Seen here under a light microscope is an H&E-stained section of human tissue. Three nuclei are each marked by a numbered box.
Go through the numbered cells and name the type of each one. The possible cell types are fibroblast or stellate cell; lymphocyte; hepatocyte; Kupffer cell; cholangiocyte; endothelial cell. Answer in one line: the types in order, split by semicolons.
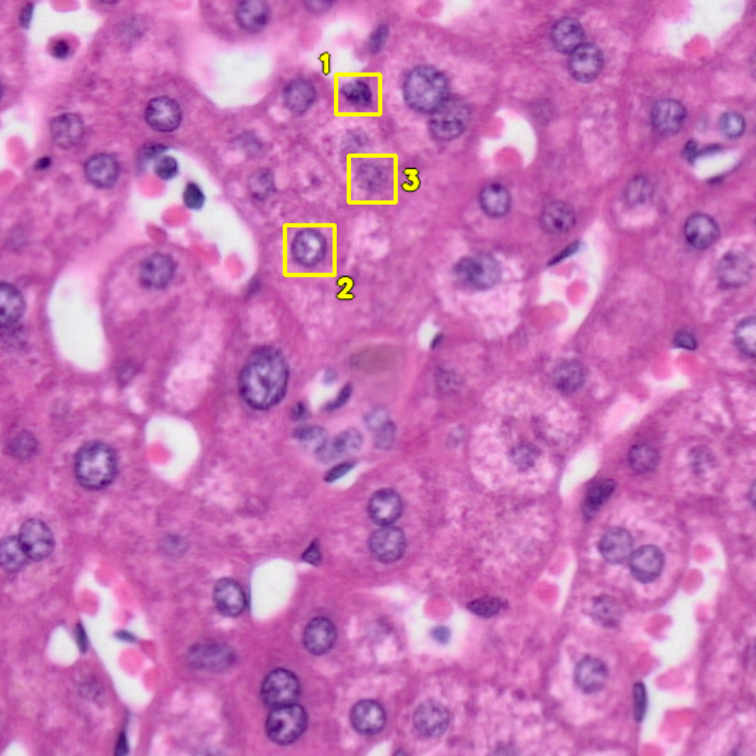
fibroblast or stellate cell; hepatocyte; hepatocyte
